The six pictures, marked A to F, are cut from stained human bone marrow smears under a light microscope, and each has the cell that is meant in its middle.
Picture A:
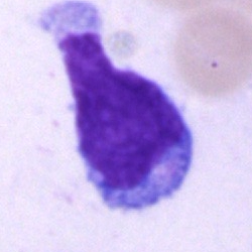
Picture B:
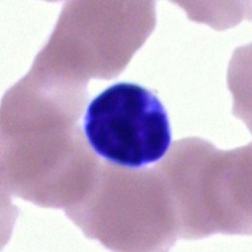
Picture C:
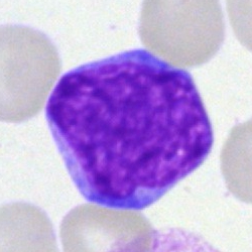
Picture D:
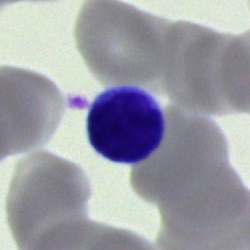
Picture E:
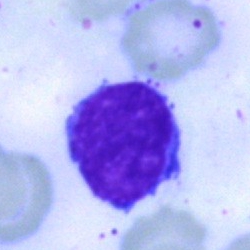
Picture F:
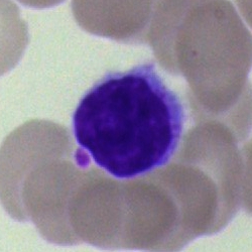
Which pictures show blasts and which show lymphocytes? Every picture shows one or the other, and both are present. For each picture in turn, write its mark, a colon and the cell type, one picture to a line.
A: blast
B: lymphocyte
C: blast
D: lymphocyte
E: lymphocyte
F: lymphocyte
